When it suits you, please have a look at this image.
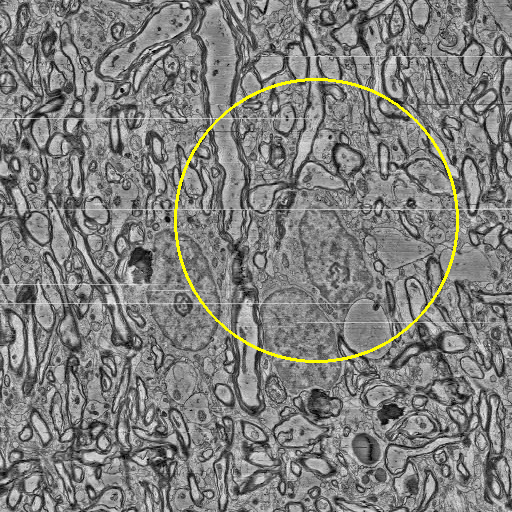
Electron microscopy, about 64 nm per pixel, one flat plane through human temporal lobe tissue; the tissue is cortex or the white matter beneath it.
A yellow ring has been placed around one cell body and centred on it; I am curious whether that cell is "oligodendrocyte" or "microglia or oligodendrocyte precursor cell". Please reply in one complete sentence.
The ringed cell, an oligodendrocyte, has its body at the centre of the yellow ring.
